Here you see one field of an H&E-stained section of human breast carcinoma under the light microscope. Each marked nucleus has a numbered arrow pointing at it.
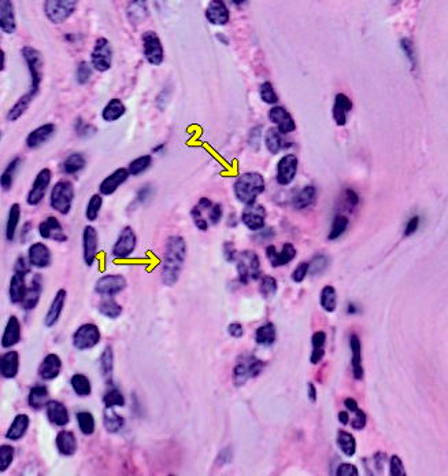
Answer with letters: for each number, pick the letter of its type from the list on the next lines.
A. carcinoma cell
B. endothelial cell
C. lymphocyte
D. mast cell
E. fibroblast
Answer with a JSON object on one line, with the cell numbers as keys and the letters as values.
{"1": "D", "2": "C"}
